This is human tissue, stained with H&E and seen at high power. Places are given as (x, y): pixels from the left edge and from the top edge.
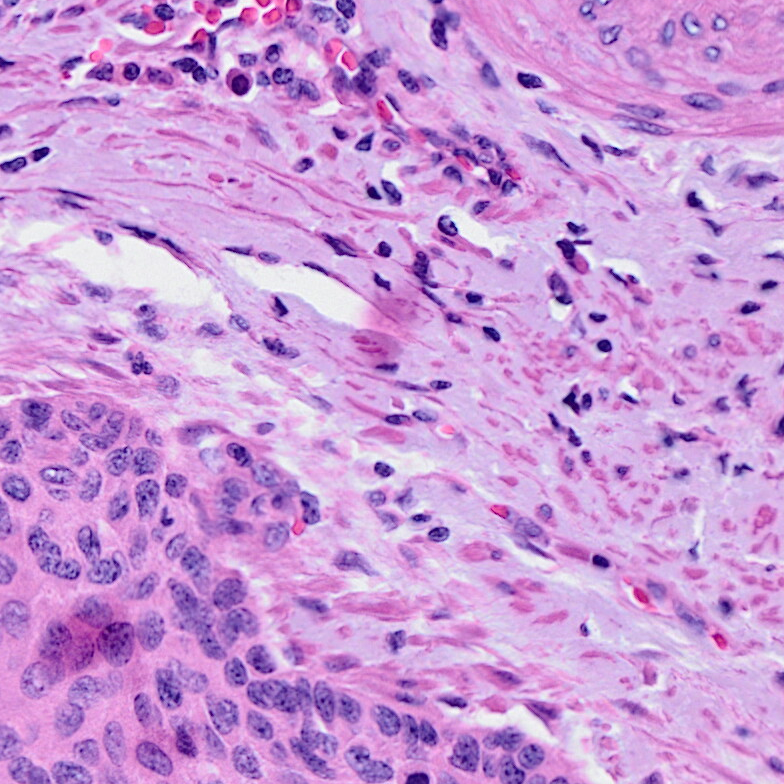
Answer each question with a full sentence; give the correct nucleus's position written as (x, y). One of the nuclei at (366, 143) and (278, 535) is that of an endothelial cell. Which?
Which one belongs to an endothelial cell? The nucleus at (278, 535) does.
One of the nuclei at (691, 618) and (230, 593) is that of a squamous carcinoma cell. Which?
The nucleus that sits at (230, 593) is the nucleus of a squamous carcinoma cell.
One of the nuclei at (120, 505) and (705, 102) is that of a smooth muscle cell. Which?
The nucleus at (705, 102) is the one that belongs to a smooth muscle cell.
